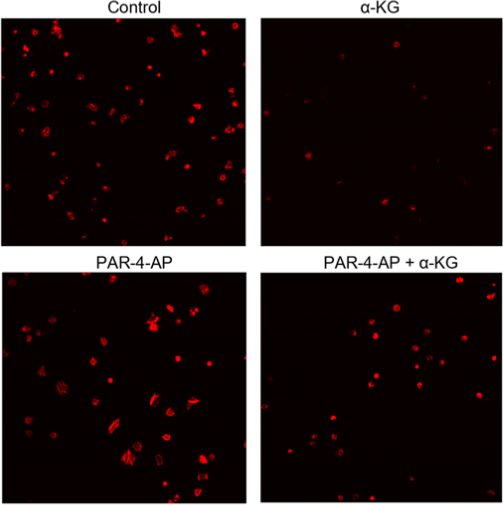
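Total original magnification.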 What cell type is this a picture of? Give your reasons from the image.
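Platelets. Many small, separate red-fluorescent cell bodies are scattered on a dark background. The cells are small, without a clearly separate nucleus. Several have flattened, irregular outlines with short projections.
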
